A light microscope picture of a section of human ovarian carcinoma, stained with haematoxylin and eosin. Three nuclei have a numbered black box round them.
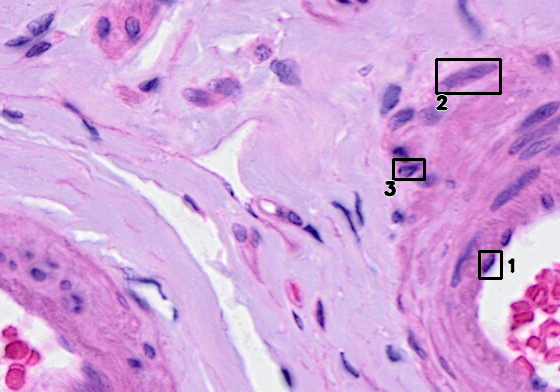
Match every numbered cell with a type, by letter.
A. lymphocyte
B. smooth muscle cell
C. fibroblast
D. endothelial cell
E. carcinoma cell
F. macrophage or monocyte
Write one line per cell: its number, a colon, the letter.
1: D
2: B
3: B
